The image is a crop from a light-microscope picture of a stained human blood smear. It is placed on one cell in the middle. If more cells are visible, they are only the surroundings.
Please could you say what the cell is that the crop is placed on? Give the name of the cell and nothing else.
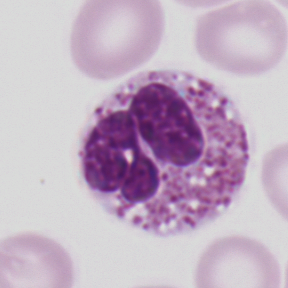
eosinophil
